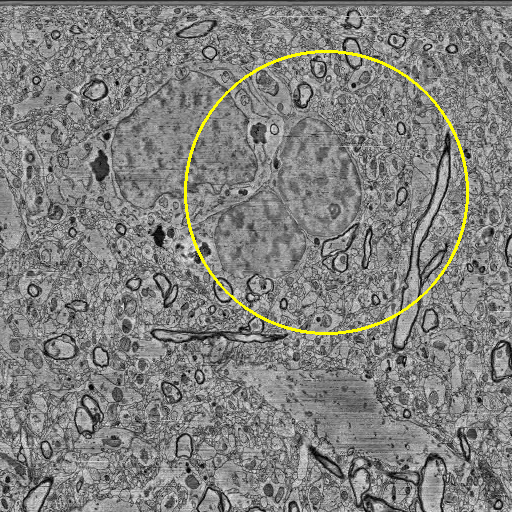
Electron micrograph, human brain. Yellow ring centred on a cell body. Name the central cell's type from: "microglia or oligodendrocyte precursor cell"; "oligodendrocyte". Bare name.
oligodendrocyte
